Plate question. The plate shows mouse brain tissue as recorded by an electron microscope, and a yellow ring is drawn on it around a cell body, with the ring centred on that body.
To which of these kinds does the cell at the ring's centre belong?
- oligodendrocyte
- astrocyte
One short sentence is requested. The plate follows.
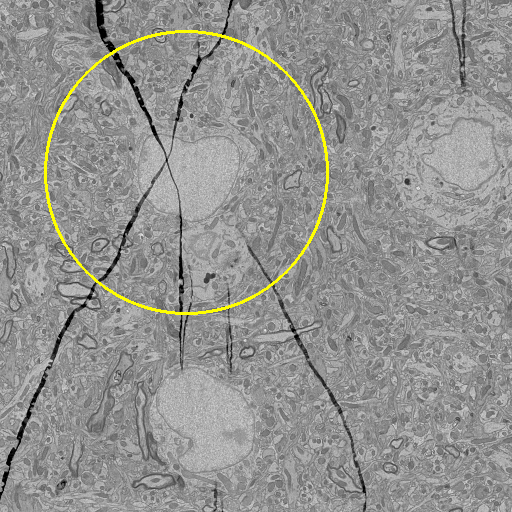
The cell at the ring's centre is an astrocyte.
